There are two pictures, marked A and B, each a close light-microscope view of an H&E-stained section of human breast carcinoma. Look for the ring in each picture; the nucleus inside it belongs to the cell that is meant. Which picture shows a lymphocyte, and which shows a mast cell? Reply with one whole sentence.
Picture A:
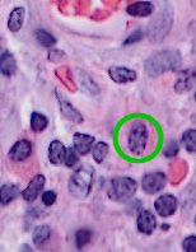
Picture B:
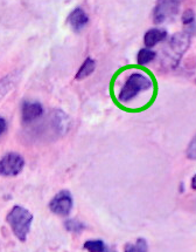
Picture A shows a mast cell and picture B shows a lymphocyte.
